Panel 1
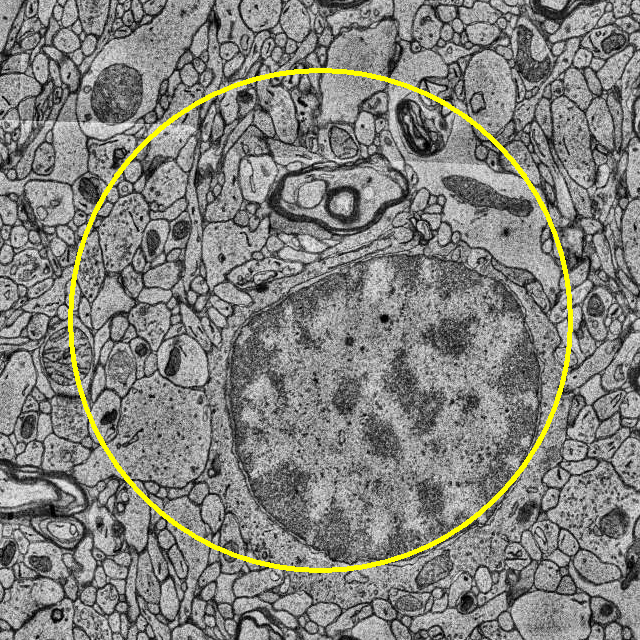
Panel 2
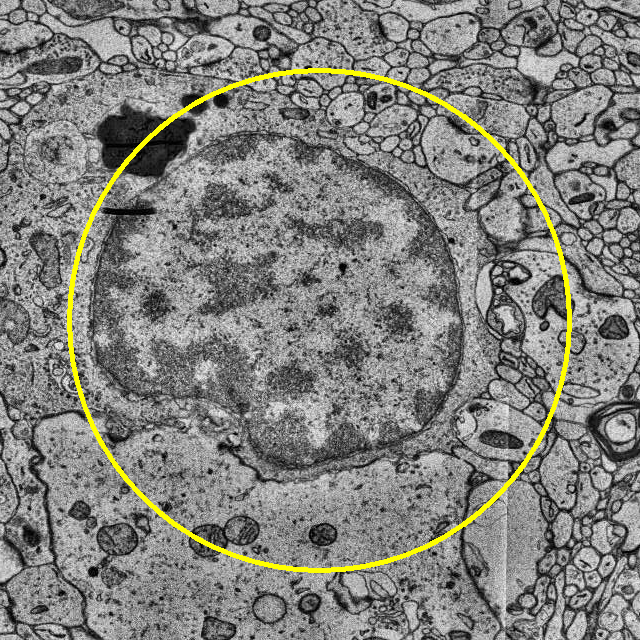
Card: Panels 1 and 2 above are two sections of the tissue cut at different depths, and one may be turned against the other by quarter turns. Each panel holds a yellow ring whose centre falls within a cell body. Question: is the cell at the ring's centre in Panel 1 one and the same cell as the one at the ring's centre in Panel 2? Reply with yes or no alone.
yes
